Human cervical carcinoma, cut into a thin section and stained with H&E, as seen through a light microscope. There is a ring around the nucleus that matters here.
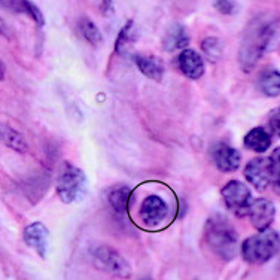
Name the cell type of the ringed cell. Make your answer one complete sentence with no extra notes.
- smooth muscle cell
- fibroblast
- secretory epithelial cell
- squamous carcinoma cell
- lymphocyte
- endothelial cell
With respect to cell type, the ringed cell is a lymphocyte.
